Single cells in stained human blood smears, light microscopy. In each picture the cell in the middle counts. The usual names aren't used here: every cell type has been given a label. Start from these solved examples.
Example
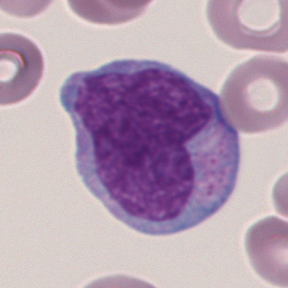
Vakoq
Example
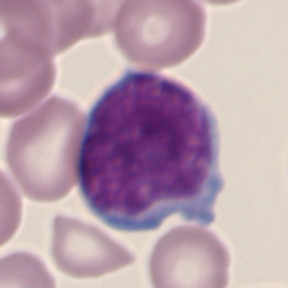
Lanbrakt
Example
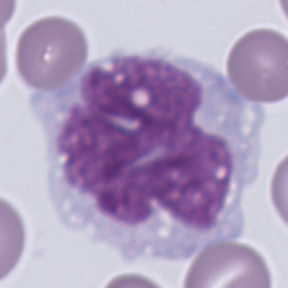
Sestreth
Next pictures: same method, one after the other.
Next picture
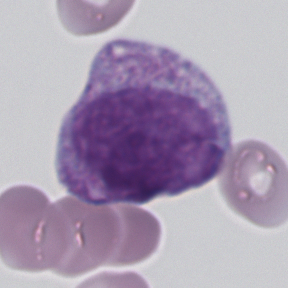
Vakoq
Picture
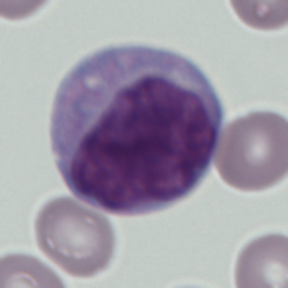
Vakoq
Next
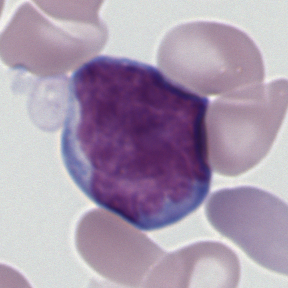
Lanbrakt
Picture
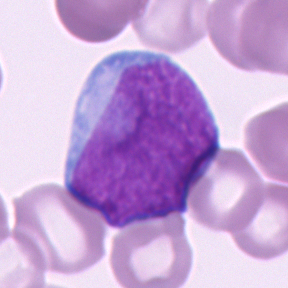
Lanbrakt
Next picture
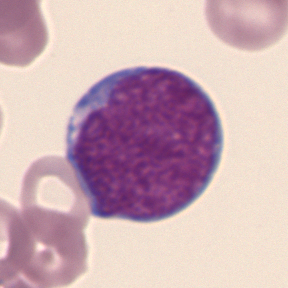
Lanbrakt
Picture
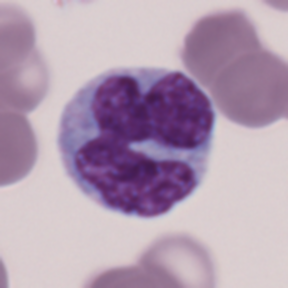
Sestreth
